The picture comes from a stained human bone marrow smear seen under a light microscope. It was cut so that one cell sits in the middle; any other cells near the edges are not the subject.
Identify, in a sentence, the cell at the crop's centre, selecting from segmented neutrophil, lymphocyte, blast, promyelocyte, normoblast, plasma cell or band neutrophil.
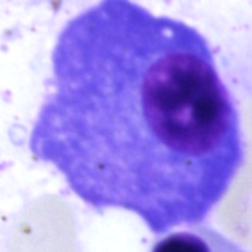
At the center of the crop sits a plasma cell.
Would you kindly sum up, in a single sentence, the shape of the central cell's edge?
A smooth outline is absent here, replaced by ragged stretches or projections.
